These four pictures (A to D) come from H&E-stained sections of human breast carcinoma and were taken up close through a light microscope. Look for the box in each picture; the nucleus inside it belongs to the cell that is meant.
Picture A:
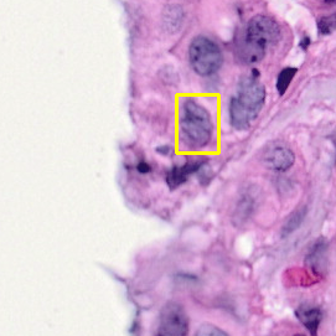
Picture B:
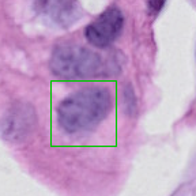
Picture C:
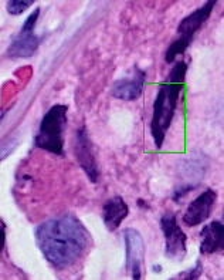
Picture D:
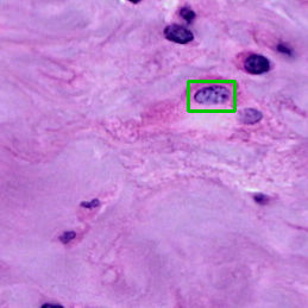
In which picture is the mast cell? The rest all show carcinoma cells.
D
